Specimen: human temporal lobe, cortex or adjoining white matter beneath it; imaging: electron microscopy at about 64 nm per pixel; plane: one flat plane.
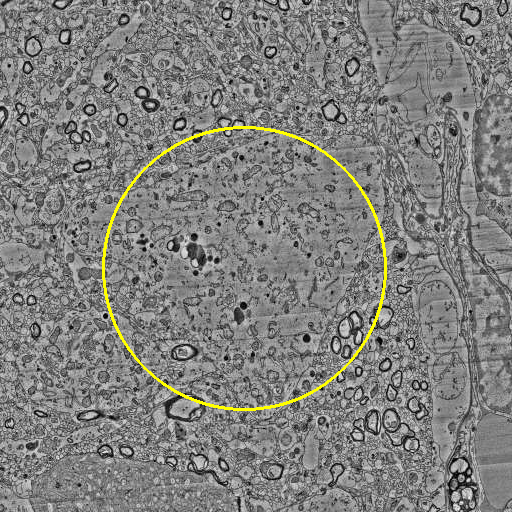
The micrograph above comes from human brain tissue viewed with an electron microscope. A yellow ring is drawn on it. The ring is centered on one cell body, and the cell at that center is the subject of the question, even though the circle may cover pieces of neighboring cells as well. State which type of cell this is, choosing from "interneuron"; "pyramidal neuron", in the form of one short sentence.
The cell the ring is centered on is a pyramidal neuron.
